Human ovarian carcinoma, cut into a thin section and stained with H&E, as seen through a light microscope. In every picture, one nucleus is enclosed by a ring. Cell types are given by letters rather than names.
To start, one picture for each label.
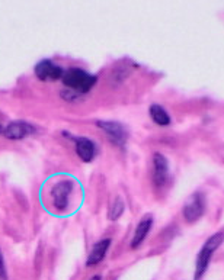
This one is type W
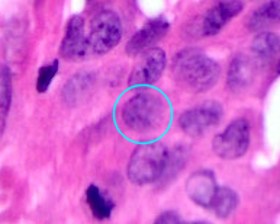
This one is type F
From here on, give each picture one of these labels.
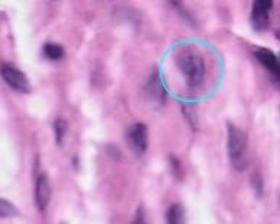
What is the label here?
type W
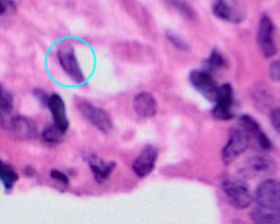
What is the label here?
type W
